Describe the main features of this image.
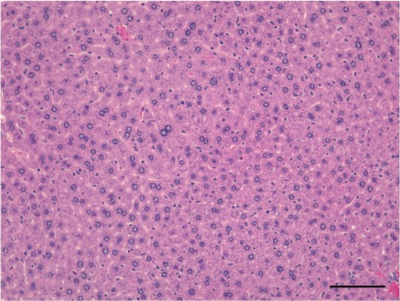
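A field of liver tissue made almost entirely of hepatocytes. The cells are large and polygonal, with pink, finely granular cytoplasm, and each holds a round purple nucleus sitting near its centre. They lie packed in irregular cords and plates, separated by narrow pale clefts that are the sinusoids running between them. Some cells have paler, slightly cleared cytoplasm. A small vessel containing red-stained blood lies near the top edge. The architecture is even across the field, with no inflammation, scarring or necrosis to be seen: an ordinary hepatic parenchyma.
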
